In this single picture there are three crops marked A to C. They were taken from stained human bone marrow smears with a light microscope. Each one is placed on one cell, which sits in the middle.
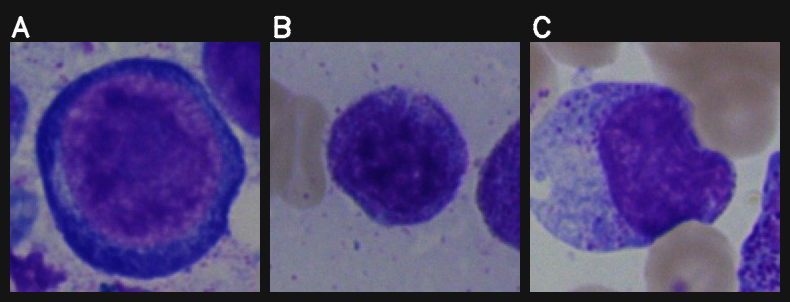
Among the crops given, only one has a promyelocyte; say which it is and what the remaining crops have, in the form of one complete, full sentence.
Crop B has a promyelocyte as its central cell, while crop A is a proerythroblast and crop C is a myelocyte.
